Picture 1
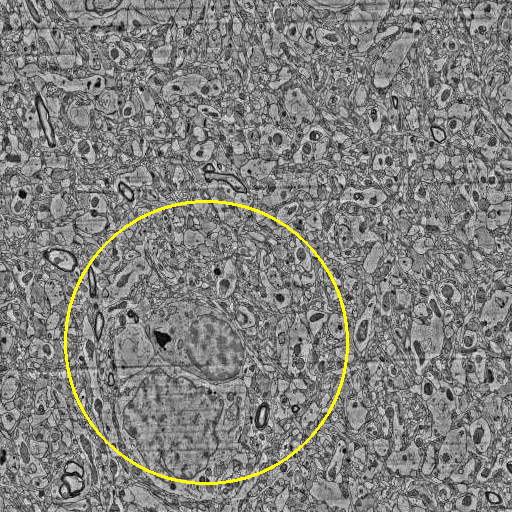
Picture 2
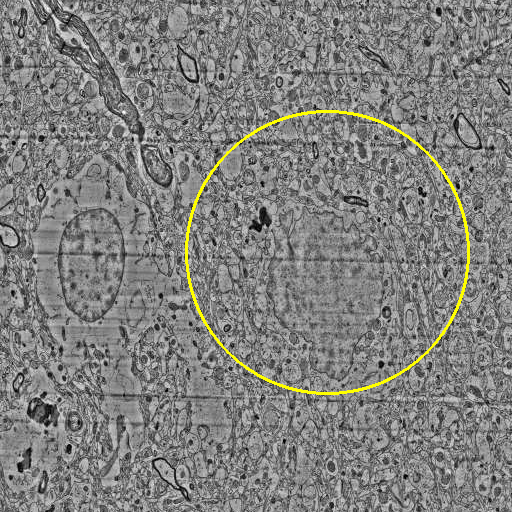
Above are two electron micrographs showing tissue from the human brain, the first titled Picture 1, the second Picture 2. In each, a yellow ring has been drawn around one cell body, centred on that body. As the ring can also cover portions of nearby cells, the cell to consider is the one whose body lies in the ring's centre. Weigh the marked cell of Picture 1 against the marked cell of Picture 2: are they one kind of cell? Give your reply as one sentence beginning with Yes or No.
No, the two cells sitting at the ring centres in the pictures are of two kinds.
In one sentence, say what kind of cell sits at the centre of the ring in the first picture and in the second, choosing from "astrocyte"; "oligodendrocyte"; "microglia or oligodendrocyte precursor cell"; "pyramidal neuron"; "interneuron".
The first picture's ringed cell is an oligodendrocyte, while the second picture's is an interneuron.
